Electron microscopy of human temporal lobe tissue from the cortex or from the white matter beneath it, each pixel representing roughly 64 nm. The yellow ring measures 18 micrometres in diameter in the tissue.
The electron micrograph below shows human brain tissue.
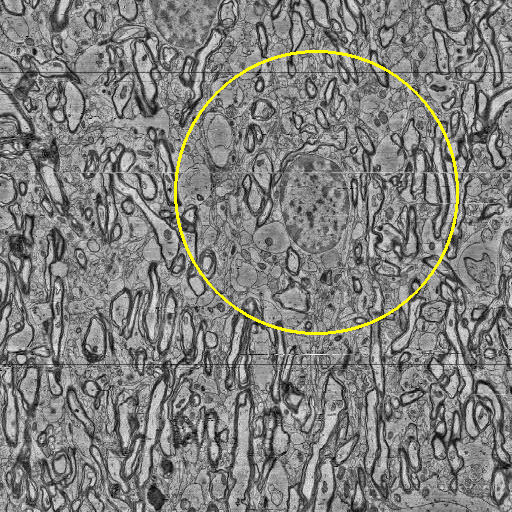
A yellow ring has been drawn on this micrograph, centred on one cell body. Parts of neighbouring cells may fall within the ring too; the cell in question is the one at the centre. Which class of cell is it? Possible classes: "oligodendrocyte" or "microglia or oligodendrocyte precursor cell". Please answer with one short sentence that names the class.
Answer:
In the centre of the ring sits a microglial cell or oligodendrocyte precursor cell.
